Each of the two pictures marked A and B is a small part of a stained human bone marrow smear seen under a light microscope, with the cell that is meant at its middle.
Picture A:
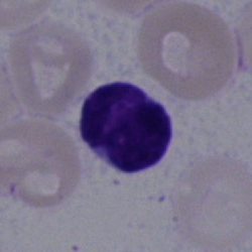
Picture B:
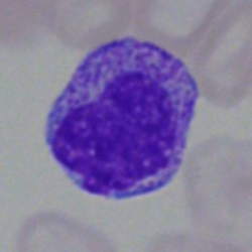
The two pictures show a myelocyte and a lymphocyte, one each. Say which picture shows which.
A: lymphocyte
B: myelocyte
